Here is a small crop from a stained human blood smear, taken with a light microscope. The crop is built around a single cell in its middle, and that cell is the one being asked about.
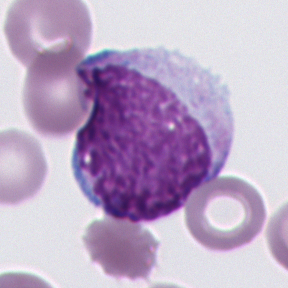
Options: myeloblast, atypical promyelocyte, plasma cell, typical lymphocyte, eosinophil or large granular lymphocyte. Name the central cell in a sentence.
The central cell shown in this smear crop is an atypical promyelocyte.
